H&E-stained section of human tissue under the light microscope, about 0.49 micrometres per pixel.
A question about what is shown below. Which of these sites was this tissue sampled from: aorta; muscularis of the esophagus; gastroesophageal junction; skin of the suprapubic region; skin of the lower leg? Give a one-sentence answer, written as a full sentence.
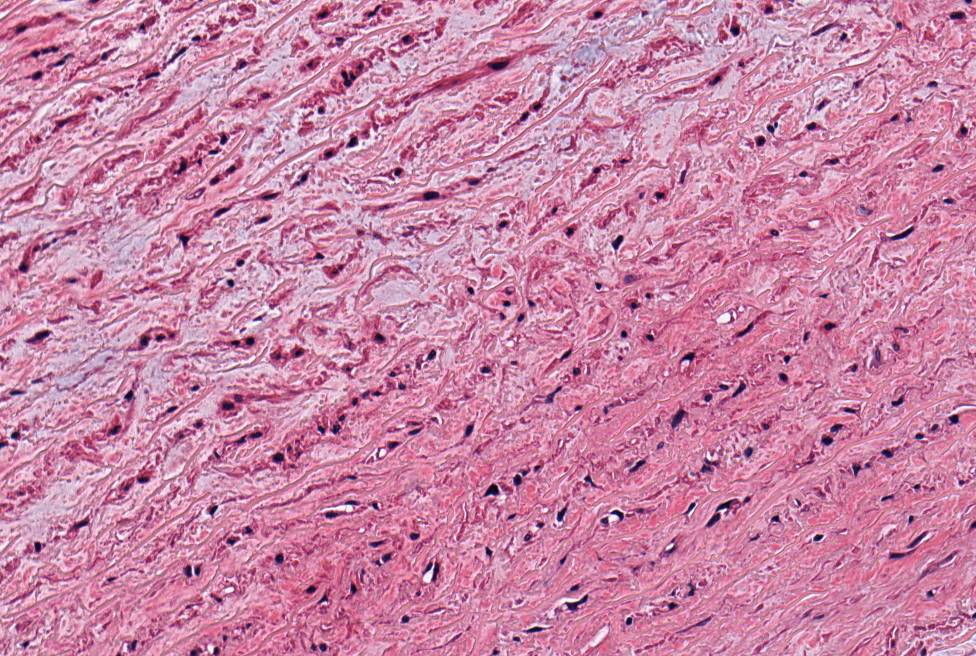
The source of this tissue sample is the aorta.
